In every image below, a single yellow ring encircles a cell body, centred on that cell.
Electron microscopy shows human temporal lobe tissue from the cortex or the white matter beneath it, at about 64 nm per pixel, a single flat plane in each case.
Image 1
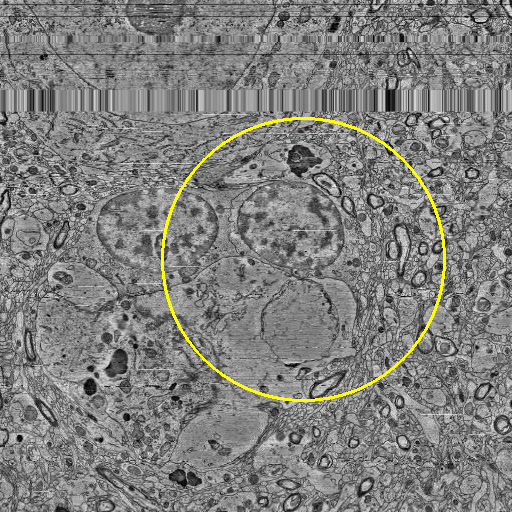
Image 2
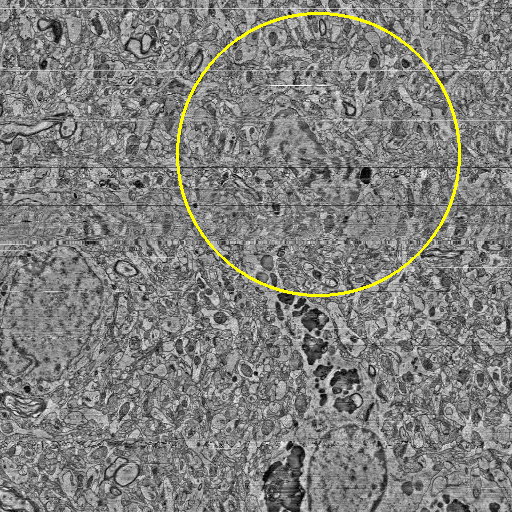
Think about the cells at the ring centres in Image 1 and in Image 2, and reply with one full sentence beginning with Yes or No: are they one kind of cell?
No, the cells centred in the rings of Image 1 and Image 2 are two kinds of cell.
